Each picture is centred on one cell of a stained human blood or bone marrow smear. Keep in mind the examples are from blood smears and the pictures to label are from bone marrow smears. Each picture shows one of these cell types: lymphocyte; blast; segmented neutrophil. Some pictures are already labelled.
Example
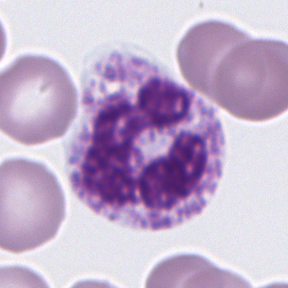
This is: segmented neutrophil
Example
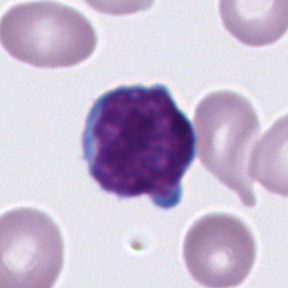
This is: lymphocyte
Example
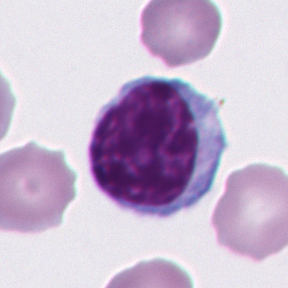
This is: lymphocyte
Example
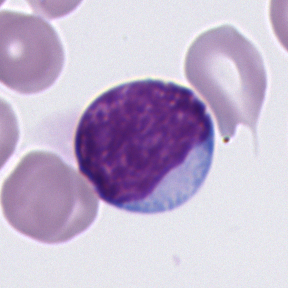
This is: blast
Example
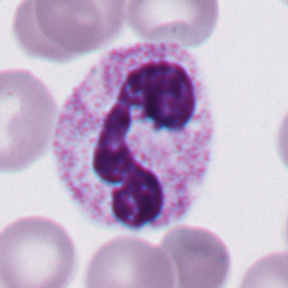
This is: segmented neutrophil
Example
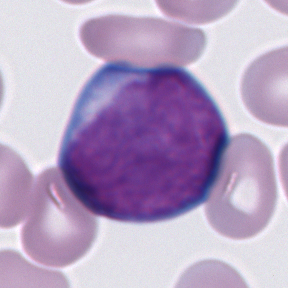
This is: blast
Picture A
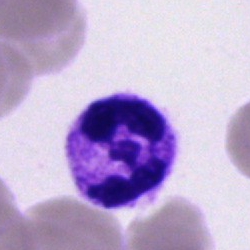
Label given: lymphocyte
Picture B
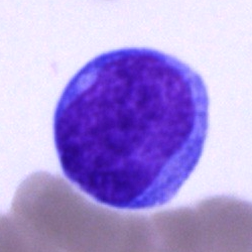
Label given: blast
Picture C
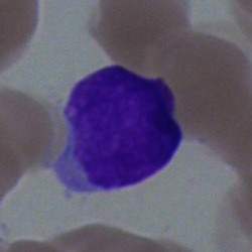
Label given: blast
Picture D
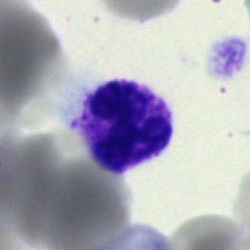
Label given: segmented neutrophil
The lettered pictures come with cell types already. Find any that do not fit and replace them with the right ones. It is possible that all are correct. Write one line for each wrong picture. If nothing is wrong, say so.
A: change lymphocyte to segmented neutrophil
